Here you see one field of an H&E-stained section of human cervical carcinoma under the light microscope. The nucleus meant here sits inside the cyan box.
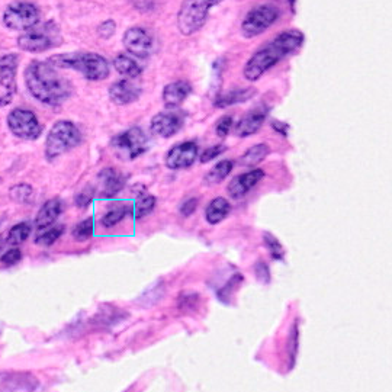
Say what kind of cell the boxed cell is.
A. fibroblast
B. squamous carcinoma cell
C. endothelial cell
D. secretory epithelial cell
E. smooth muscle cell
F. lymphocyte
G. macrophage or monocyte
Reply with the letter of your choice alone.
B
